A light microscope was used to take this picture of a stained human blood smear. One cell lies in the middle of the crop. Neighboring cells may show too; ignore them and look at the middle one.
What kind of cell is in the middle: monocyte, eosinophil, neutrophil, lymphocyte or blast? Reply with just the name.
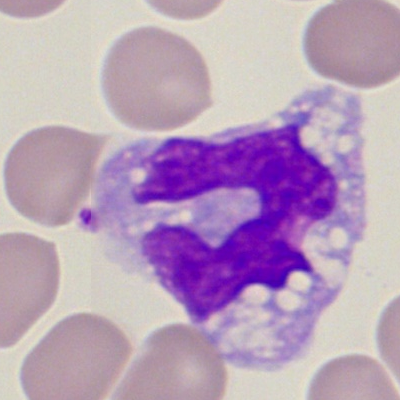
monocyte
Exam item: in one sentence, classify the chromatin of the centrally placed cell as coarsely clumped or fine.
Its chromatin is finely dispersed rather than coarsely clumped.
